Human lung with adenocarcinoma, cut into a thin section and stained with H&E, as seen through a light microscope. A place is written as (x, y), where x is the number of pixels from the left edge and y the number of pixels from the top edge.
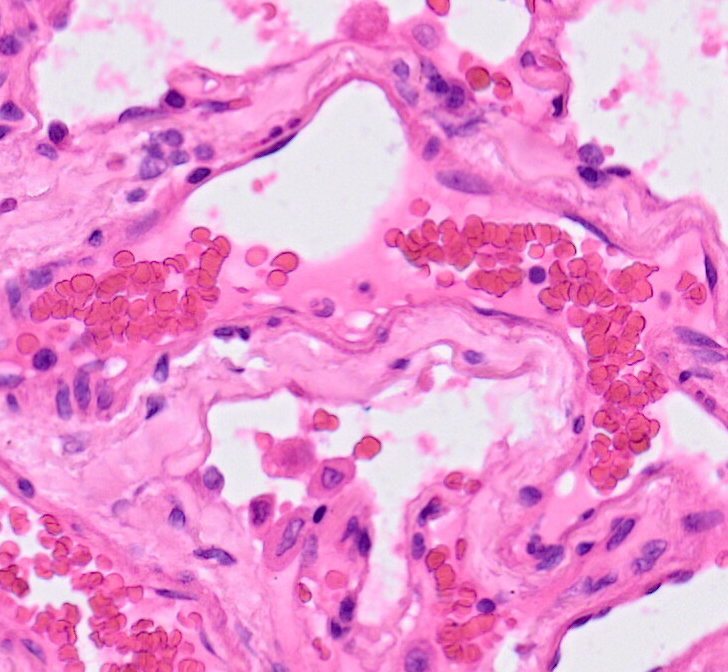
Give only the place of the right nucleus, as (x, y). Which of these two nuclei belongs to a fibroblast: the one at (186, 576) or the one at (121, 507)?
(121, 507)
